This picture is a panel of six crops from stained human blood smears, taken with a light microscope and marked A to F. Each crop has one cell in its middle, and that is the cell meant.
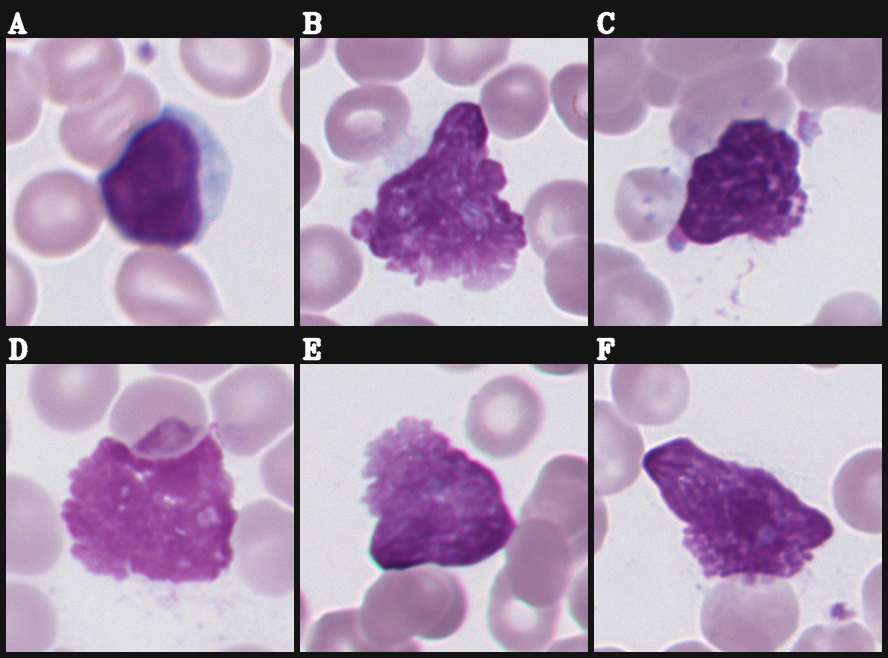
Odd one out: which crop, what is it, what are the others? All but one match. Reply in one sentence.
Crop A is the outlier, with a typical lymphocyte against smudge cells in the rest.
